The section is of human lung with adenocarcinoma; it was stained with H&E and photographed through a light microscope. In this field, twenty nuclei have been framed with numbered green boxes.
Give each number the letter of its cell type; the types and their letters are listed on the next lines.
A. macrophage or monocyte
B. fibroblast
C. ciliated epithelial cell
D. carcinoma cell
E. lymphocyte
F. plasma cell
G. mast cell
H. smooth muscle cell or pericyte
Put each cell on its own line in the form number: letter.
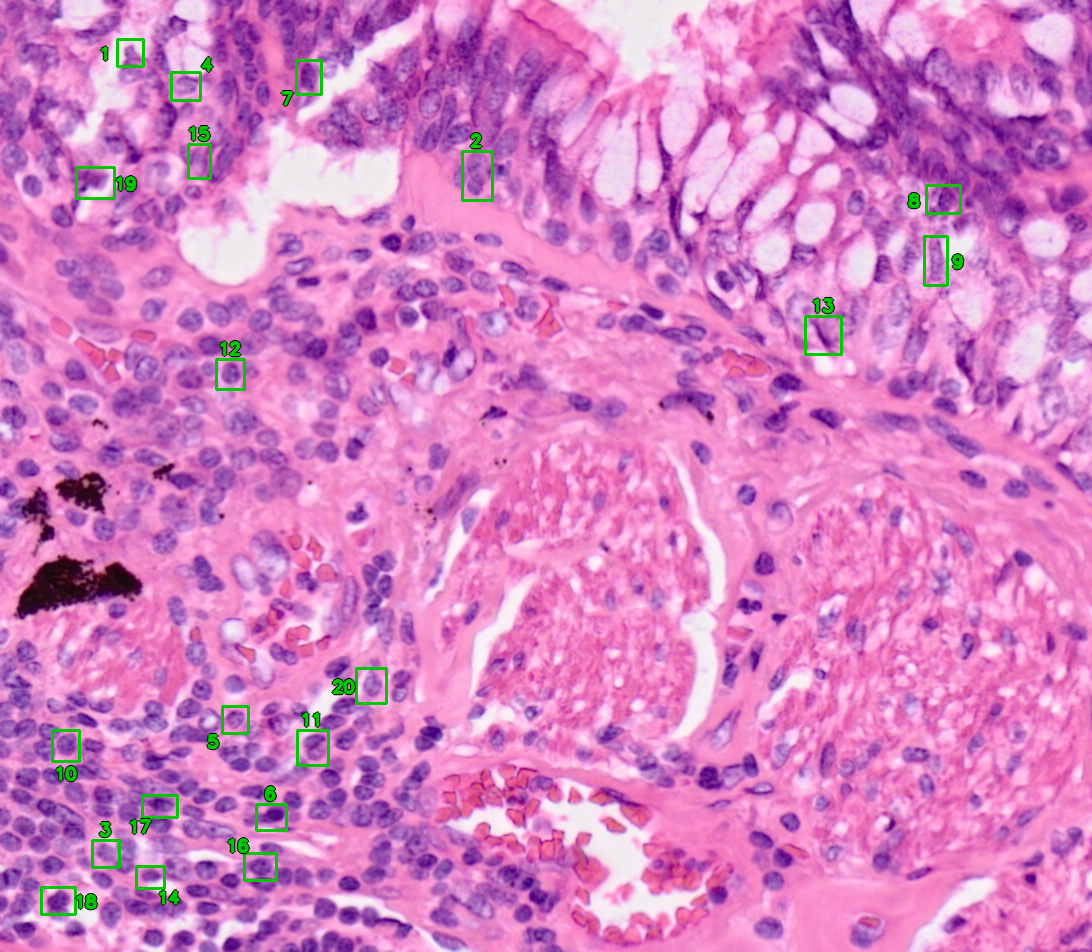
1: C
2: C
3: E
4: C
5: E
6: E
7: C
8: C
9: C
10: E
11: E
12: E
13: C
14: E
15: C
16: E
17: E
18: E
19: C
20: E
